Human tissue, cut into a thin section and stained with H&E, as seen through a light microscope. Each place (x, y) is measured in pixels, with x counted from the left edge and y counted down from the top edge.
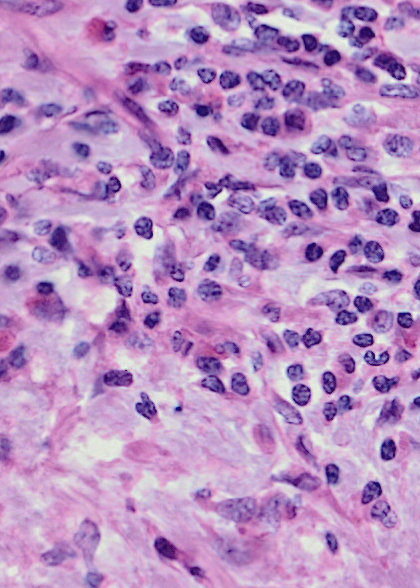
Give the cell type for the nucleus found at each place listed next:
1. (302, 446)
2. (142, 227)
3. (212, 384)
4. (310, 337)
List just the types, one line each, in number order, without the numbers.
macrophage or monocyte
lymphocyte
lymphocyte
lymphocyte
